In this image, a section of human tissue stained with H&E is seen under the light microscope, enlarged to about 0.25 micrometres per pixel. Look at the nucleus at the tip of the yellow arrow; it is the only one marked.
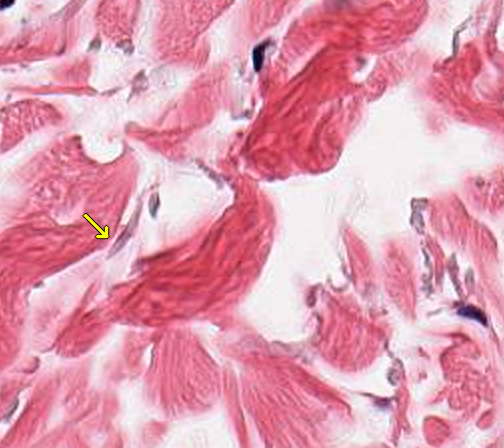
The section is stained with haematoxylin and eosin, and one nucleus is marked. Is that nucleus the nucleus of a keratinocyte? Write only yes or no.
no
